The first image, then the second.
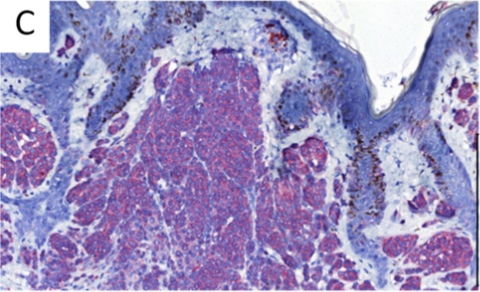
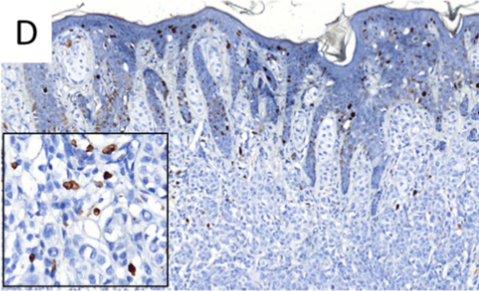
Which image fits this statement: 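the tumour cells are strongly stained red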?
the first image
